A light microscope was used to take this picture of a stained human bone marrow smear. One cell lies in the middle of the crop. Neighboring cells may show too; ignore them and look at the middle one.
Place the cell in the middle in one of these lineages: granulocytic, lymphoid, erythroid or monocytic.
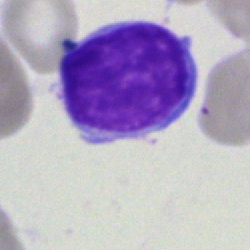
lymphoid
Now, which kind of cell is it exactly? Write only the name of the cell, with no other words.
lymphocyte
